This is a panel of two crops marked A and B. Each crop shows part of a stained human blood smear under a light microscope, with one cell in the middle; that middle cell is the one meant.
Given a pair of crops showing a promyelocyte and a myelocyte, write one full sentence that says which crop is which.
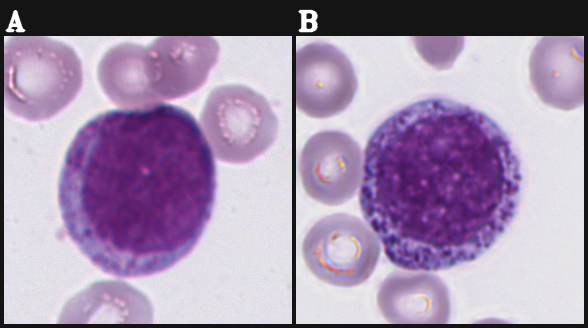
The cell of interest in crop A is a promyelocyte, and in crop B it is a myelocyte.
